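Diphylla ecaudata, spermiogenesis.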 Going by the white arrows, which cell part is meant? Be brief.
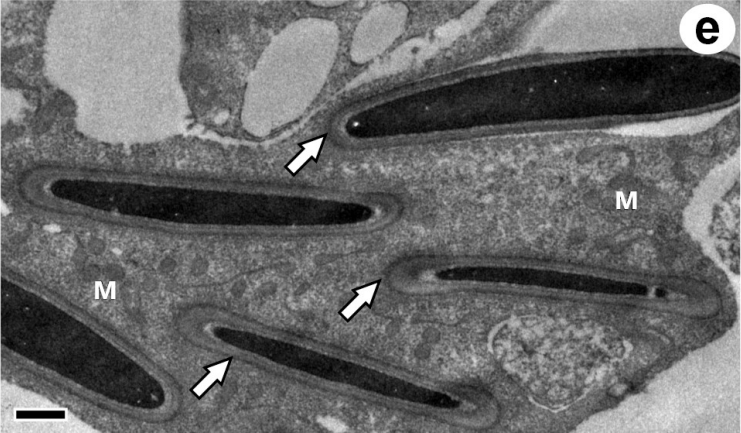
Acrosome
